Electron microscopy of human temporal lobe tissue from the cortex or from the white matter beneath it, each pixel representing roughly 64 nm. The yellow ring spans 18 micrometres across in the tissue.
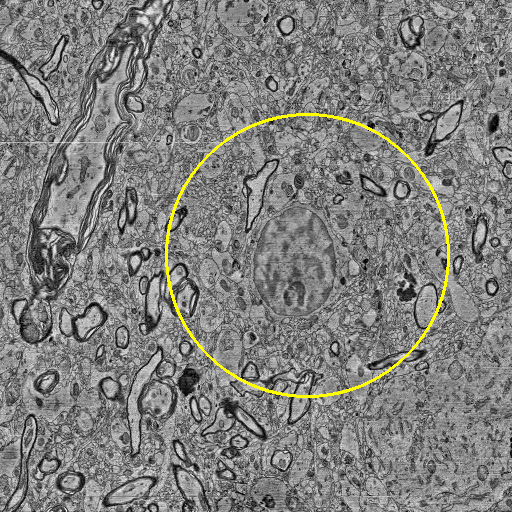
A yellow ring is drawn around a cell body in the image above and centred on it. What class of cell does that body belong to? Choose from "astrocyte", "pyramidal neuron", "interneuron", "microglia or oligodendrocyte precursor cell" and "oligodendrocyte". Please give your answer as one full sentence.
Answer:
The yellow ring above is centred on the cell body of an oligodendrocyte.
